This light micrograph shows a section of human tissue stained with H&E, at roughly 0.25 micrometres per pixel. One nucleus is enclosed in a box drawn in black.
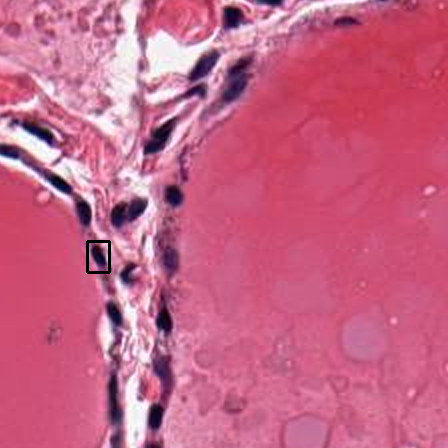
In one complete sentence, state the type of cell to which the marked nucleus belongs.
The cell containing the marked nucleus is a thyroid follicular cell.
